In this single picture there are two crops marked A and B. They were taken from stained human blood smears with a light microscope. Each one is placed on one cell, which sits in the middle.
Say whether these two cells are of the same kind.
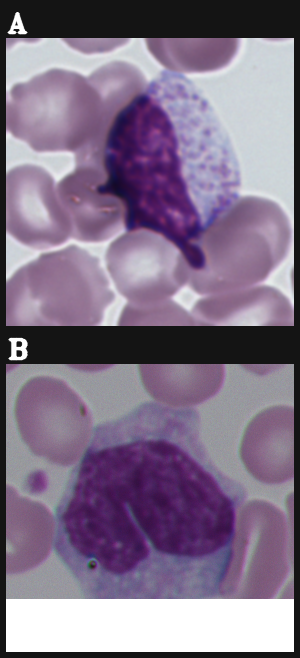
no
